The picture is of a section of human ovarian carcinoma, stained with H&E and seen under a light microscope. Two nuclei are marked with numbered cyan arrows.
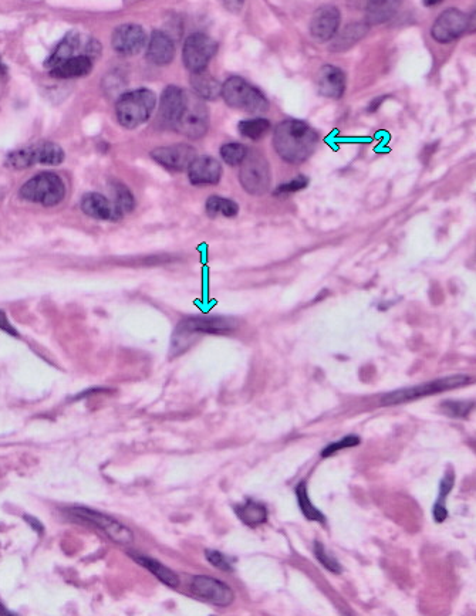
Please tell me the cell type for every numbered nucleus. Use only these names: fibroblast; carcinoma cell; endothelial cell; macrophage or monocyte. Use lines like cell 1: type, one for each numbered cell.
cell 1: fibroblast
cell 2: carcinoma cell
